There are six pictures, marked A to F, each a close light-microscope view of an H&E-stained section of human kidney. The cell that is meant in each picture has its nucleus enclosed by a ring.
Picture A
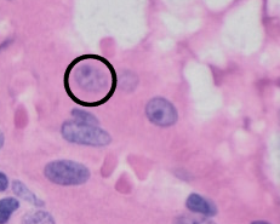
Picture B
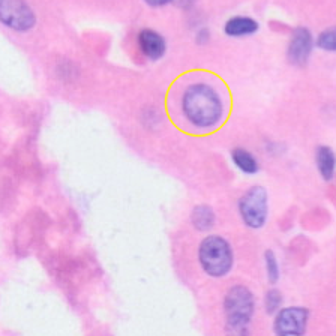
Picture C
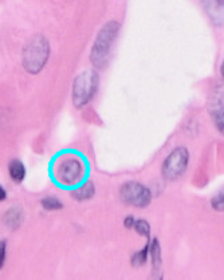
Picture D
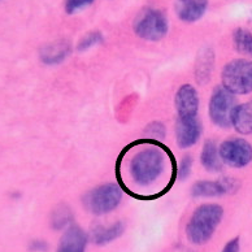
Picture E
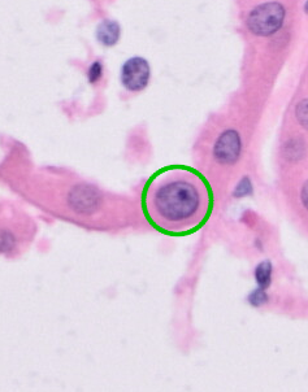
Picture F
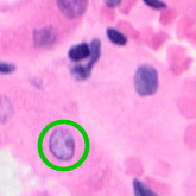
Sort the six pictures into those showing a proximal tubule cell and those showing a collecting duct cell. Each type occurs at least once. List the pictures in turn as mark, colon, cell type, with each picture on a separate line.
A: proximal tubule cell
B: proximal tubule cell
C: collecting duct cell
D: collecting duct cell
E: proximal tubule cell
F: proximal tubule cell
